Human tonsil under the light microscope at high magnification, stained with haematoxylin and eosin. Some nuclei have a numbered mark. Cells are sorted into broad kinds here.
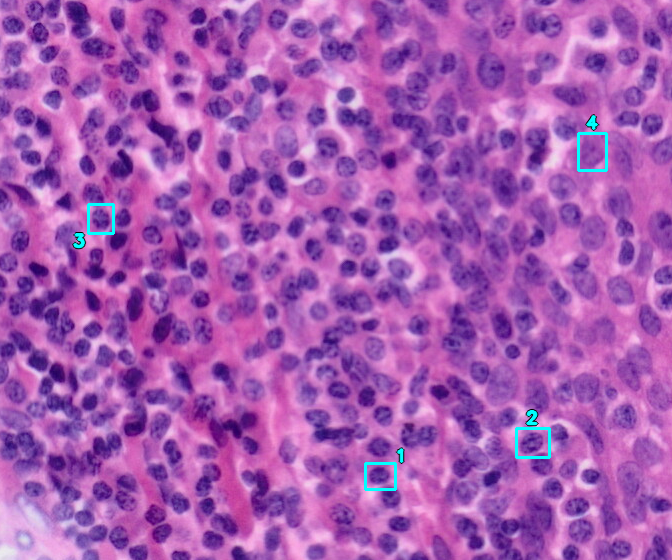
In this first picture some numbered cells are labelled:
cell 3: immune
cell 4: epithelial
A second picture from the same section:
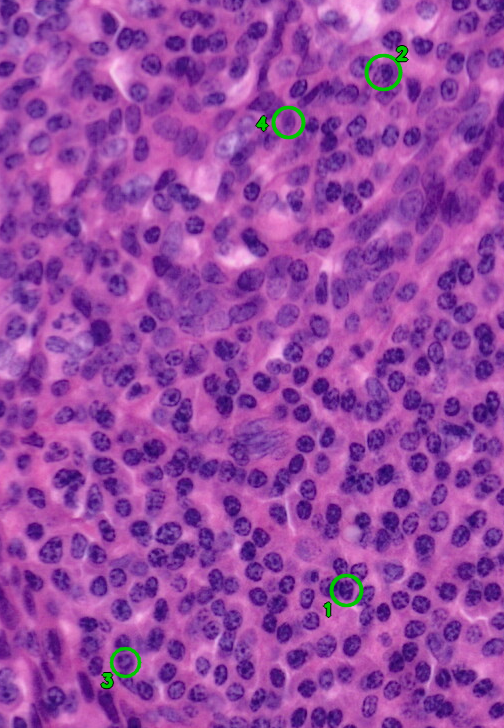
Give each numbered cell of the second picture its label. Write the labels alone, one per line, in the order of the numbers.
immune
immune
immune
epithelial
